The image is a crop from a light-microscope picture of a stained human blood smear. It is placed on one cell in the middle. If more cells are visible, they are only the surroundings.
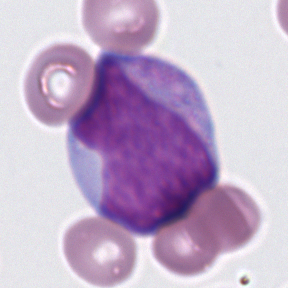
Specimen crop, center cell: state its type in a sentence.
In the centre of this crop there is an atypical promyelocyte.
